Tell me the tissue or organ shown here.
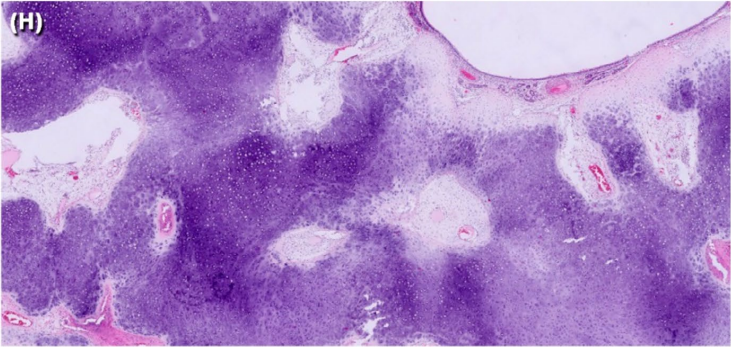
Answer: Islands of mature cartilage.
